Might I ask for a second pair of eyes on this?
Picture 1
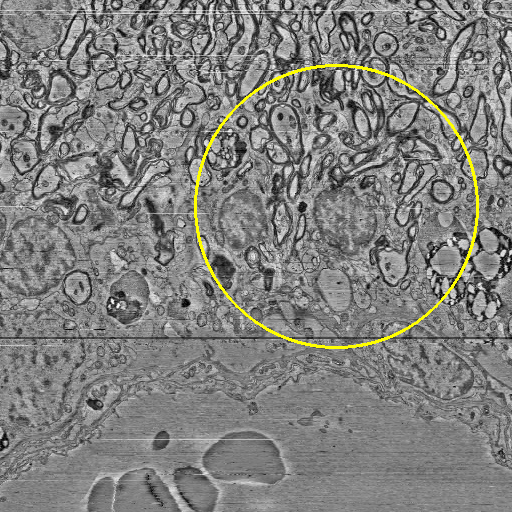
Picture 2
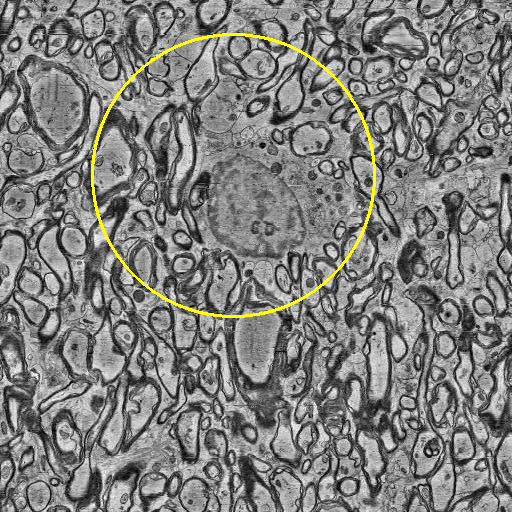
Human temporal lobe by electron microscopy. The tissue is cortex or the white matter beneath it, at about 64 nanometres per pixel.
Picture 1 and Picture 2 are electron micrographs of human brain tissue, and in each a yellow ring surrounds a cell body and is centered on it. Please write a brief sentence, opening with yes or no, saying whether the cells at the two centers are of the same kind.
Yes, the cells are of the same kind.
